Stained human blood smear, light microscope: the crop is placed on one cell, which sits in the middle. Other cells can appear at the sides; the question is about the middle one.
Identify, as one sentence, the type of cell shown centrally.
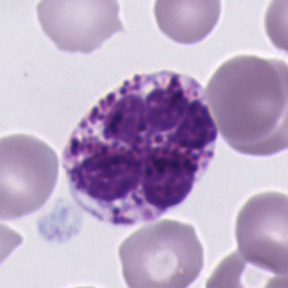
The central element of this crop is a cell, namely a basophil.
